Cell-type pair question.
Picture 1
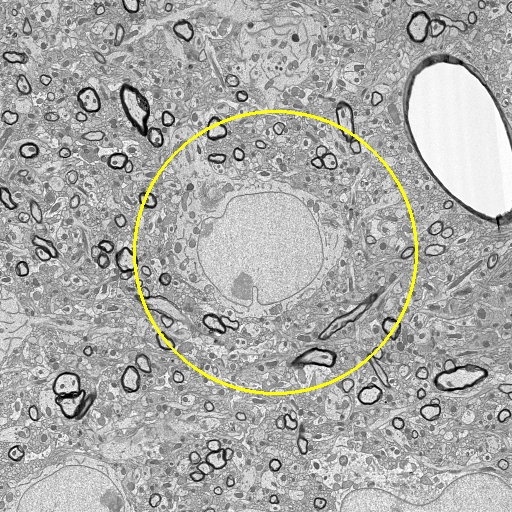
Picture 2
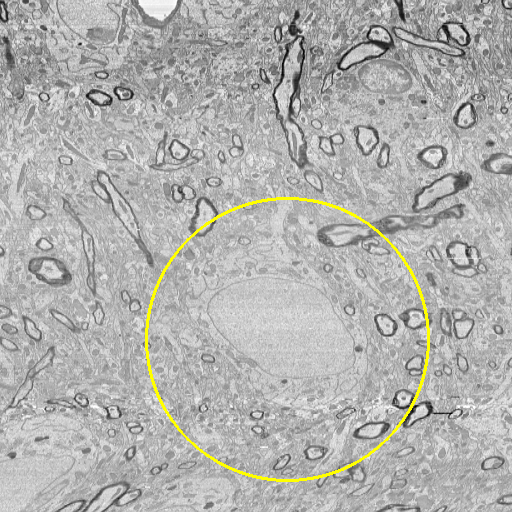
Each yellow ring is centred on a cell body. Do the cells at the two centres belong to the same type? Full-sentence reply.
Yes, the two cells belong to the same type.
